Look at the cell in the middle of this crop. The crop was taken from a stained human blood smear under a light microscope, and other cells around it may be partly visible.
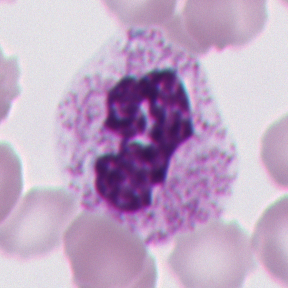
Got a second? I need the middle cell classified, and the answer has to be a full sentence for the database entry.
The crop's centre is taken up by a segmented neutrophil.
